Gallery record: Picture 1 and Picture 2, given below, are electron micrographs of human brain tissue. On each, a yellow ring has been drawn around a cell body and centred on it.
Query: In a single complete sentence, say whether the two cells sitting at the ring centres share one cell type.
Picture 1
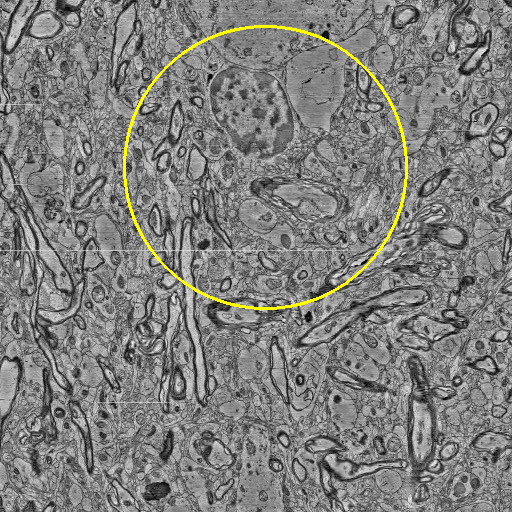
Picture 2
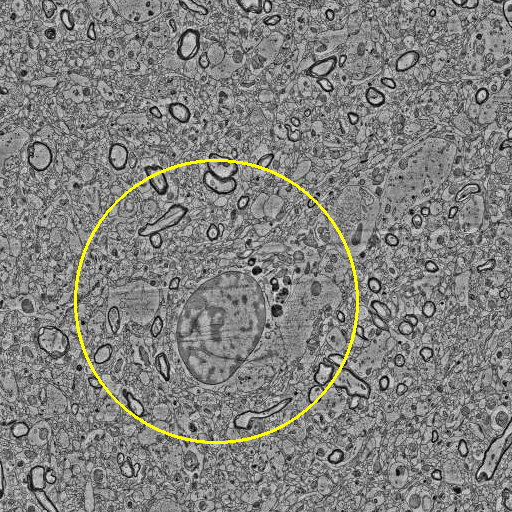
Yes, in both pictures the cell at the ring's centre is of one and the same type.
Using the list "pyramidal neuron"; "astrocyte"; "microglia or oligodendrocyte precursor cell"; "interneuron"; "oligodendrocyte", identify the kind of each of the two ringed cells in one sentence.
Each of the ringed cells, first and second, is a microglial cell or oligodendrocyte precursor cell.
